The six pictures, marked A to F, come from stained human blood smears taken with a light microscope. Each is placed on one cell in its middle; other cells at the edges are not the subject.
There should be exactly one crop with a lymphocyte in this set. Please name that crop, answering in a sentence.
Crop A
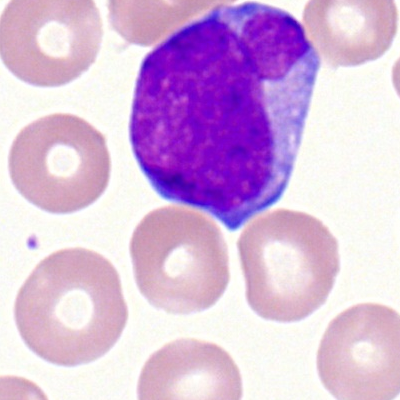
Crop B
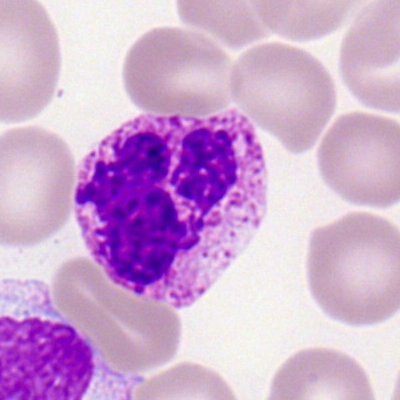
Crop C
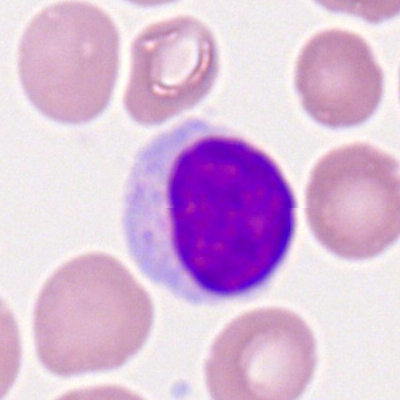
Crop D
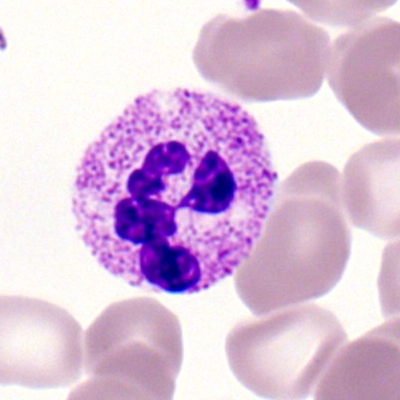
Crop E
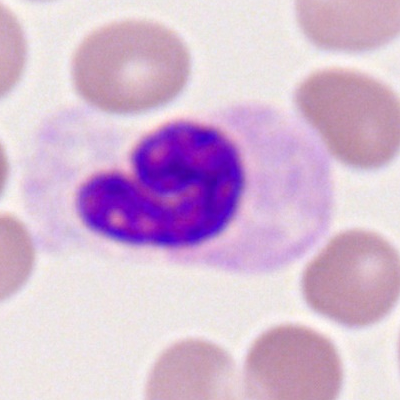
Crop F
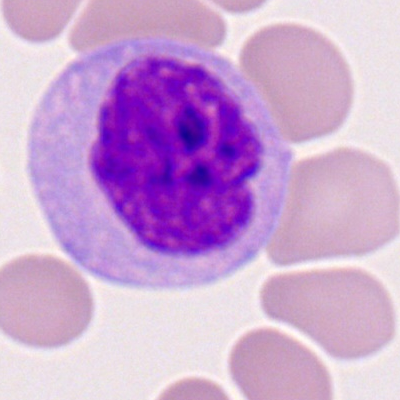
Identified crop: C, the one that shows a lymphocyte.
